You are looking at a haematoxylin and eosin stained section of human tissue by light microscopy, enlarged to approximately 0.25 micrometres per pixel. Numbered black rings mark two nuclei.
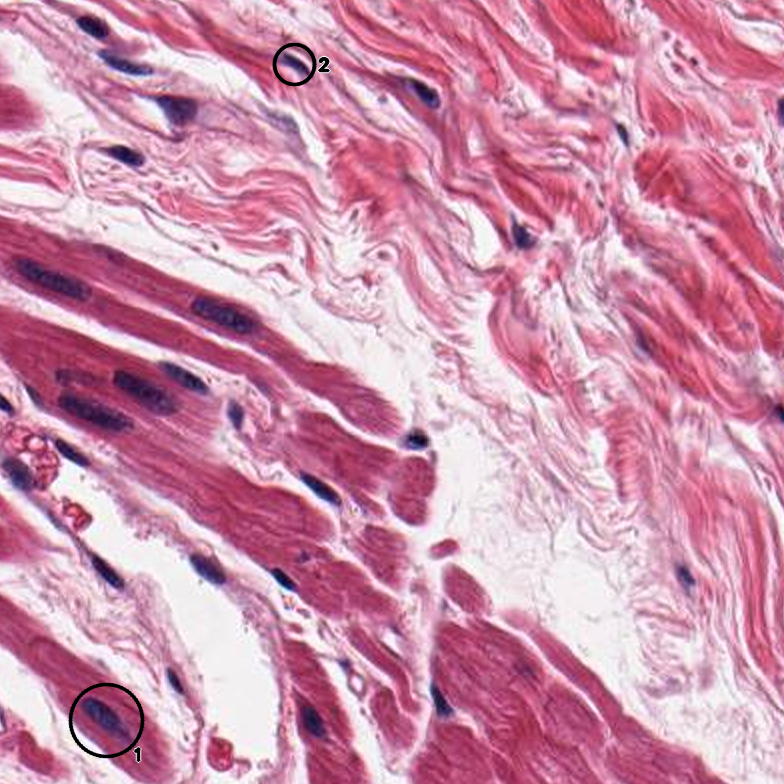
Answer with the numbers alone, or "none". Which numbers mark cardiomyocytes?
1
